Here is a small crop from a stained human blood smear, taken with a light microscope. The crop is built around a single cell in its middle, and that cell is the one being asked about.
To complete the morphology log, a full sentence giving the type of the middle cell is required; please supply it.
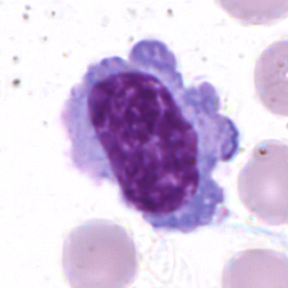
What the crop centres on is a plasma cell.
